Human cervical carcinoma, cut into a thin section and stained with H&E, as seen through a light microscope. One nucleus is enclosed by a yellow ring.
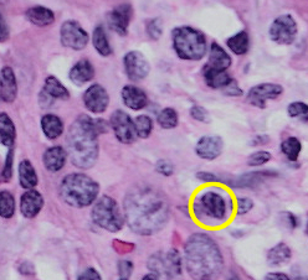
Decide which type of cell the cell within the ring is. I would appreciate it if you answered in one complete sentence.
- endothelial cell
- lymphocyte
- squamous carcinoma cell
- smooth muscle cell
In this preparation, the cell within the ring is a lymphocyte.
